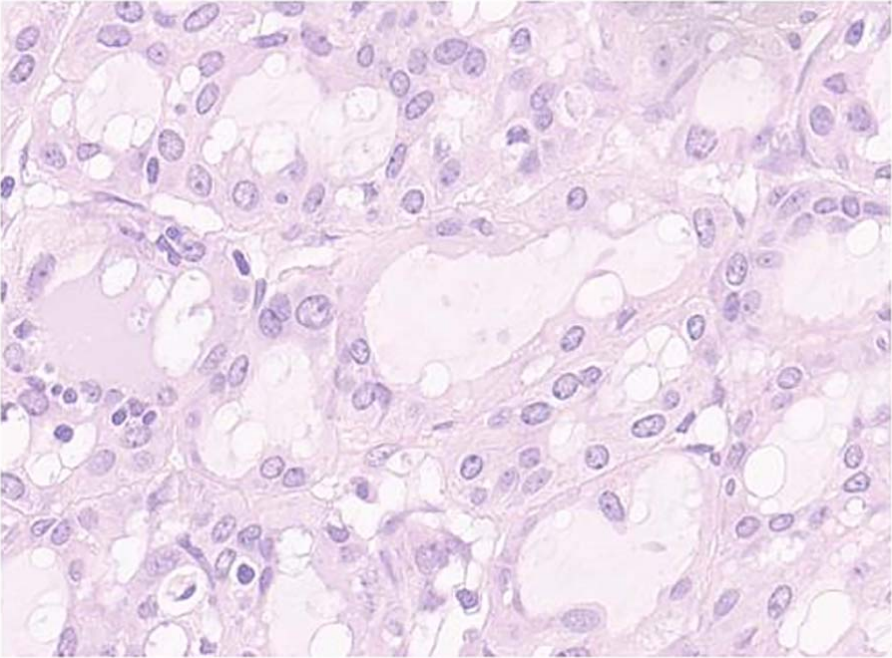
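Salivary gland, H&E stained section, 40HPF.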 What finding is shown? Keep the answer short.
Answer: Secretory carcinoma.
